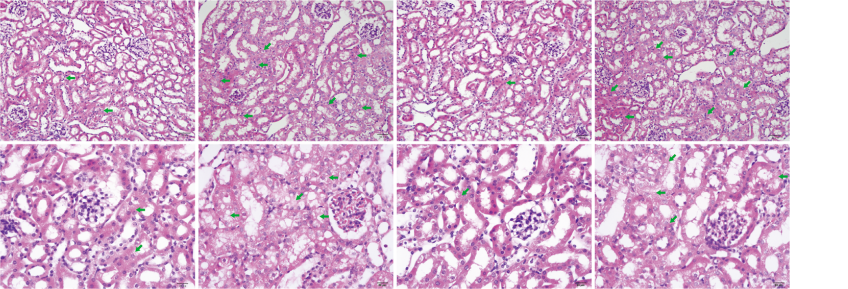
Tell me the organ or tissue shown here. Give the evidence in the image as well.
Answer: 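Round glomerular tufts of closely packed nuclei lie among many tubular profiles. Tubules are lined by pink-staining epithelium around open lumina. On this evidence: kidney.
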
